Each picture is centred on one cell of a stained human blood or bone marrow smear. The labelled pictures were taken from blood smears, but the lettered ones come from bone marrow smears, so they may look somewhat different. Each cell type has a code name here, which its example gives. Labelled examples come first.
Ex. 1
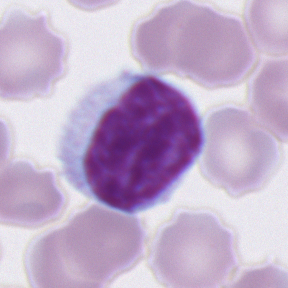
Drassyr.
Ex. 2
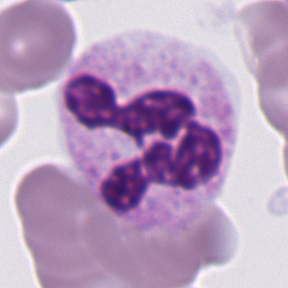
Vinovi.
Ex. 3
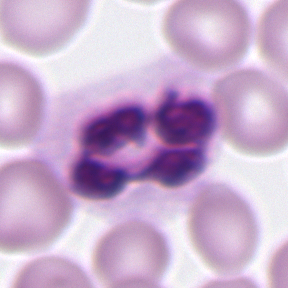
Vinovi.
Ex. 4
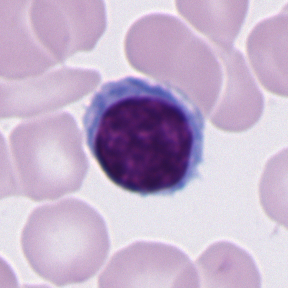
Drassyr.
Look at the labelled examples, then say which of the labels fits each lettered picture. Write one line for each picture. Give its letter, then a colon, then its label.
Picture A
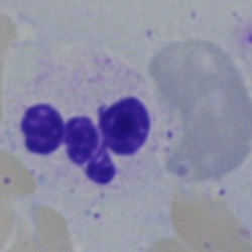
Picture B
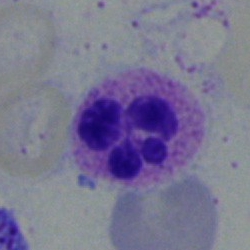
A: Vinovi.
B: Vinovi.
